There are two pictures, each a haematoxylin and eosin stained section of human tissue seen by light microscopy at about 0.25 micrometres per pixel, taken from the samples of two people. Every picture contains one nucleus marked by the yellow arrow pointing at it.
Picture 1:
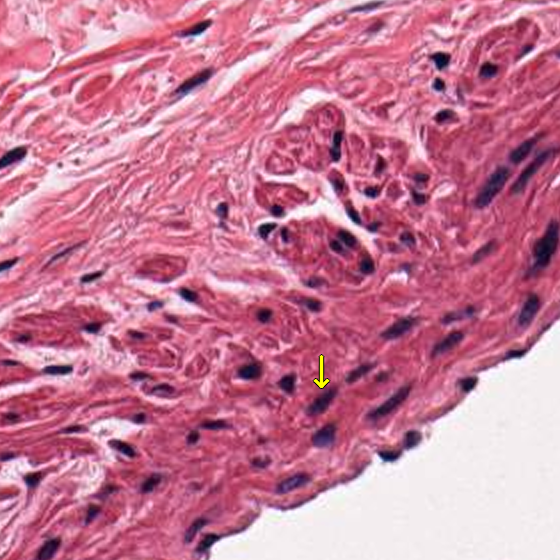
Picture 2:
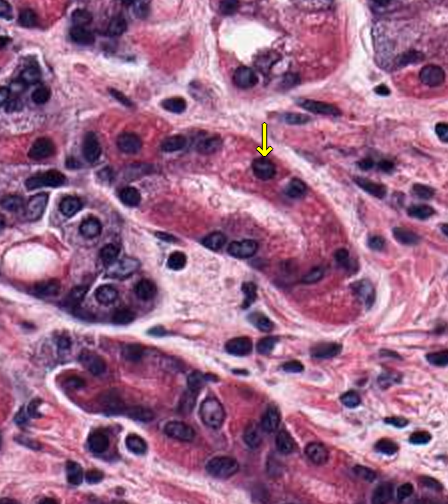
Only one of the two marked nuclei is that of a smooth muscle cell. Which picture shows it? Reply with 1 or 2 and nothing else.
1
